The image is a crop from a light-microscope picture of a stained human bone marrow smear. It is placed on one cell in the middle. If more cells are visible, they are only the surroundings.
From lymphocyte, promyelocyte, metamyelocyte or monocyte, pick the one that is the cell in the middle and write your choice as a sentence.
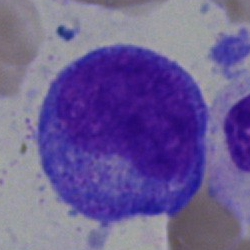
The crop shows a promyelocyte in its centre.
